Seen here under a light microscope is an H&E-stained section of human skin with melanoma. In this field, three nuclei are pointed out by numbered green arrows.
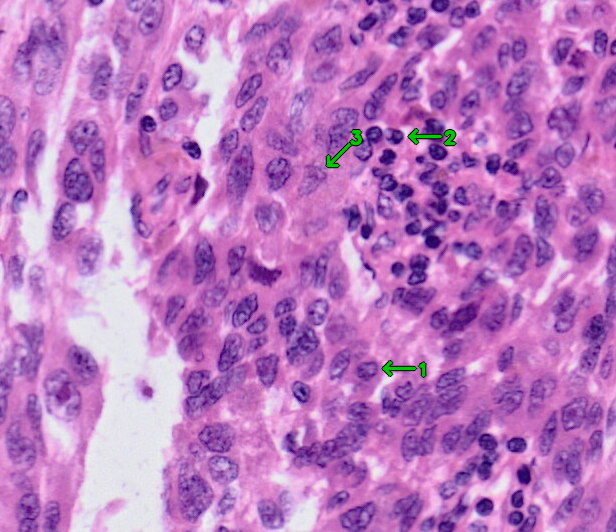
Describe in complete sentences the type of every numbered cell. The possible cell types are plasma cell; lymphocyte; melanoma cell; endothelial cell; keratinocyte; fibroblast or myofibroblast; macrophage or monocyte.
Cell 1 is a melanoma cell, cell 2 is a lymphocyte and cell 3 is a melanoma cell.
